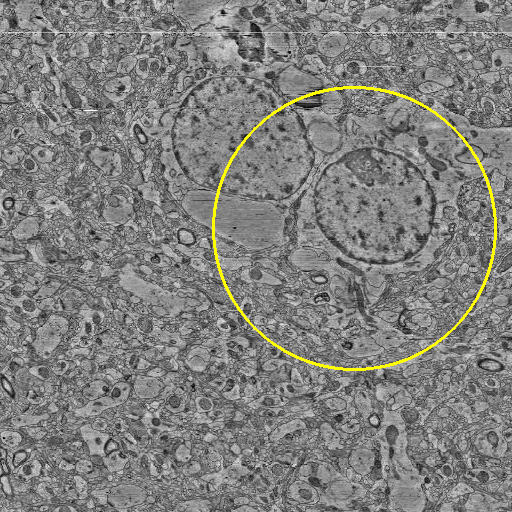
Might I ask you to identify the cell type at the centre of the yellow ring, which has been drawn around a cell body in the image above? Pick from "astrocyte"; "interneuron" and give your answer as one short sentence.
The centre of the ring falls on an astrocyte.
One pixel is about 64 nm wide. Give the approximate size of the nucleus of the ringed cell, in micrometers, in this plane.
About 8 micrometers across, in this plane.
